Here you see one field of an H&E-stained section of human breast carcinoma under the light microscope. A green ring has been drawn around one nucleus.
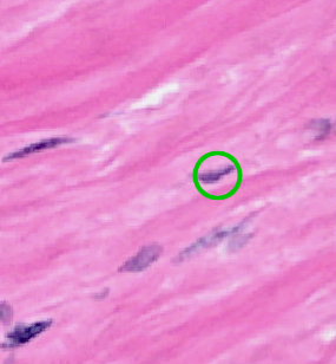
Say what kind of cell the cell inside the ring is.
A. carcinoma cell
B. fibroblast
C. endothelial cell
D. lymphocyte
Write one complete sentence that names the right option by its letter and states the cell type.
Looking at the options, pick B; the cell inside the ring is a fibroblast.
